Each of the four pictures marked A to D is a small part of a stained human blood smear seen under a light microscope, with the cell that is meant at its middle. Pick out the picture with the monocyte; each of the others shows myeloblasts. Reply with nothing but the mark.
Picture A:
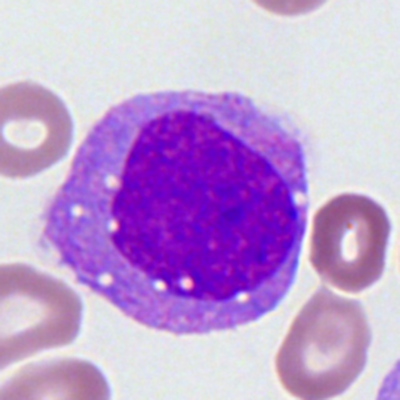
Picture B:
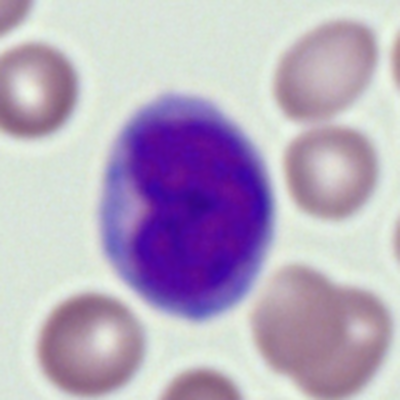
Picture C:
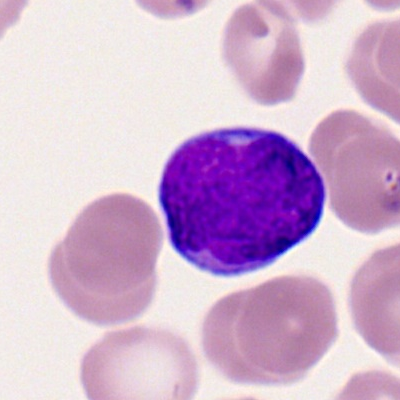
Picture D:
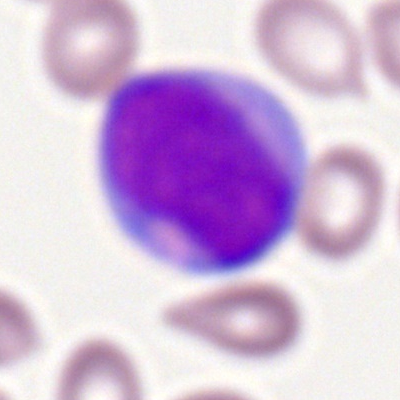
B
